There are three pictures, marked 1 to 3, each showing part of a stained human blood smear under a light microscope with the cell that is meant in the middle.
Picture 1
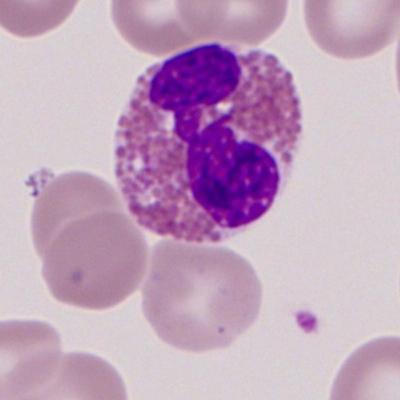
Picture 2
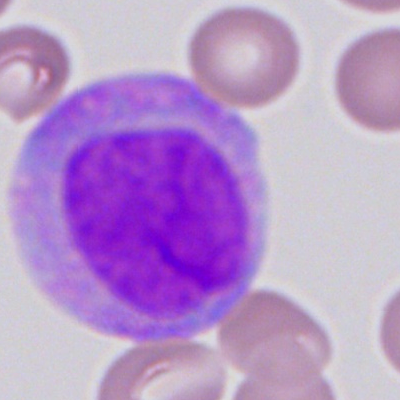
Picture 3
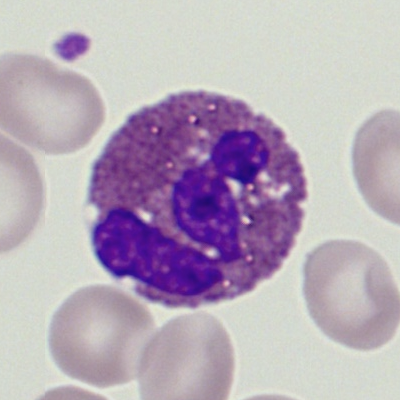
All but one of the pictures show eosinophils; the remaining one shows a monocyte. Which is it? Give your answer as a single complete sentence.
Picture 2 is the one that shows the monocyte.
